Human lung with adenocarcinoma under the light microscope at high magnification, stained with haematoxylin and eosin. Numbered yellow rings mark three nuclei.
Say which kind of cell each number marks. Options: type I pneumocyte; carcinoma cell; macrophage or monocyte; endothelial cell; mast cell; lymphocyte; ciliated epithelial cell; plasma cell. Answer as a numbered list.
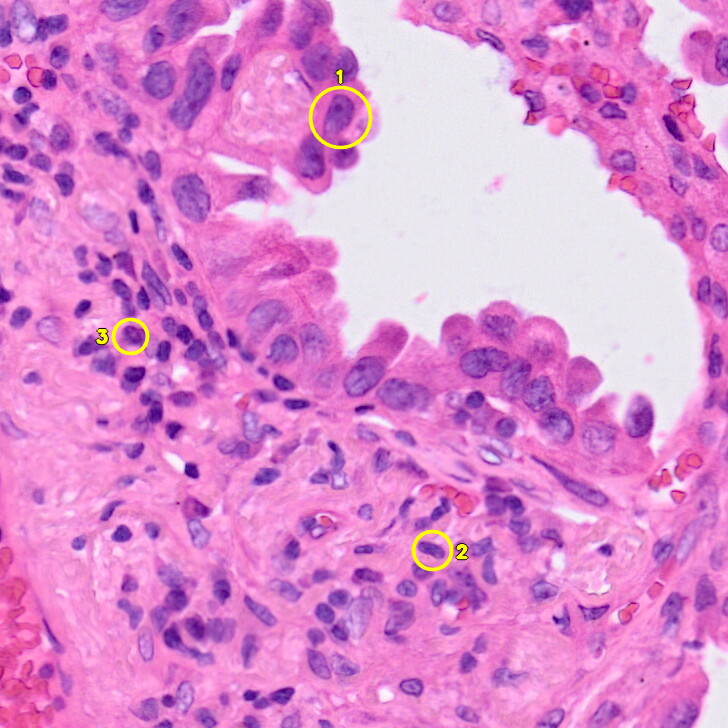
1. carcinoma cell
2. lymphocyte
3. plasma cell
